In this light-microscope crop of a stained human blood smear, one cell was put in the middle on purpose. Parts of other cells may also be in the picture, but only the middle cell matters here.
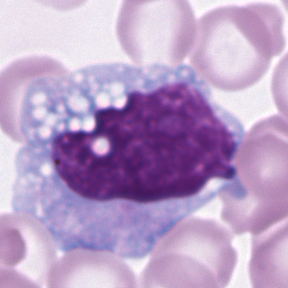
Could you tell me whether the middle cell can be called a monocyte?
yes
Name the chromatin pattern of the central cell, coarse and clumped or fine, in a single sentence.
The chromatin is fine throughout, without coarse clumps.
